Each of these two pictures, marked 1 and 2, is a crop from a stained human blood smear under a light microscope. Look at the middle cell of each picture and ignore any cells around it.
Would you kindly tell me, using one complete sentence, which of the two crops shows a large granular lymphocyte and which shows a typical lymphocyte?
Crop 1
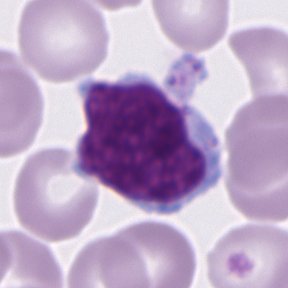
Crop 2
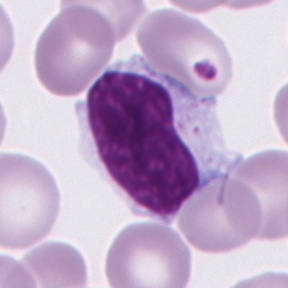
Here crop 1 is a typical lymphocyte, and crop 2 is a large granular lymphocyte.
